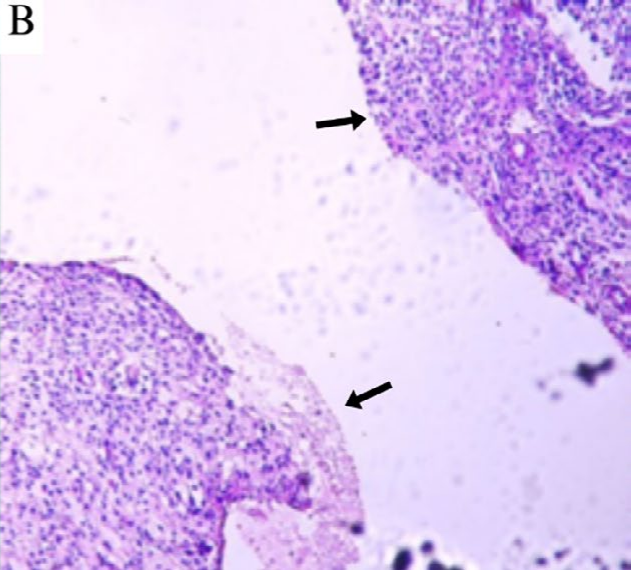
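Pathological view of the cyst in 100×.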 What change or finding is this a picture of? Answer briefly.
Inflammatory cells infiltration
